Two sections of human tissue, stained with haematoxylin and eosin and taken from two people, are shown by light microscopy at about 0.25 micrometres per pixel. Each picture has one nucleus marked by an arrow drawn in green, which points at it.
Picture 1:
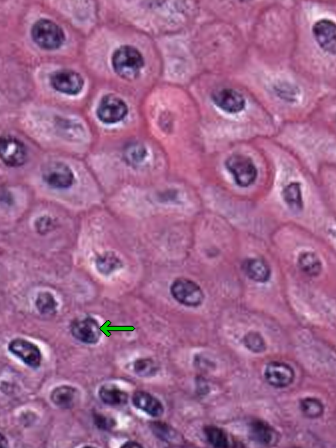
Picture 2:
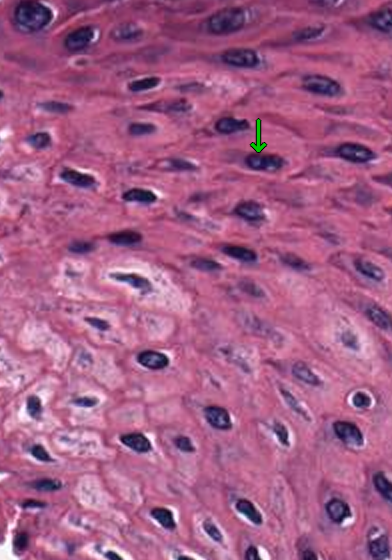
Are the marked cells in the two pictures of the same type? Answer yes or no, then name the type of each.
Yes, both are squamous epithelial cells.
